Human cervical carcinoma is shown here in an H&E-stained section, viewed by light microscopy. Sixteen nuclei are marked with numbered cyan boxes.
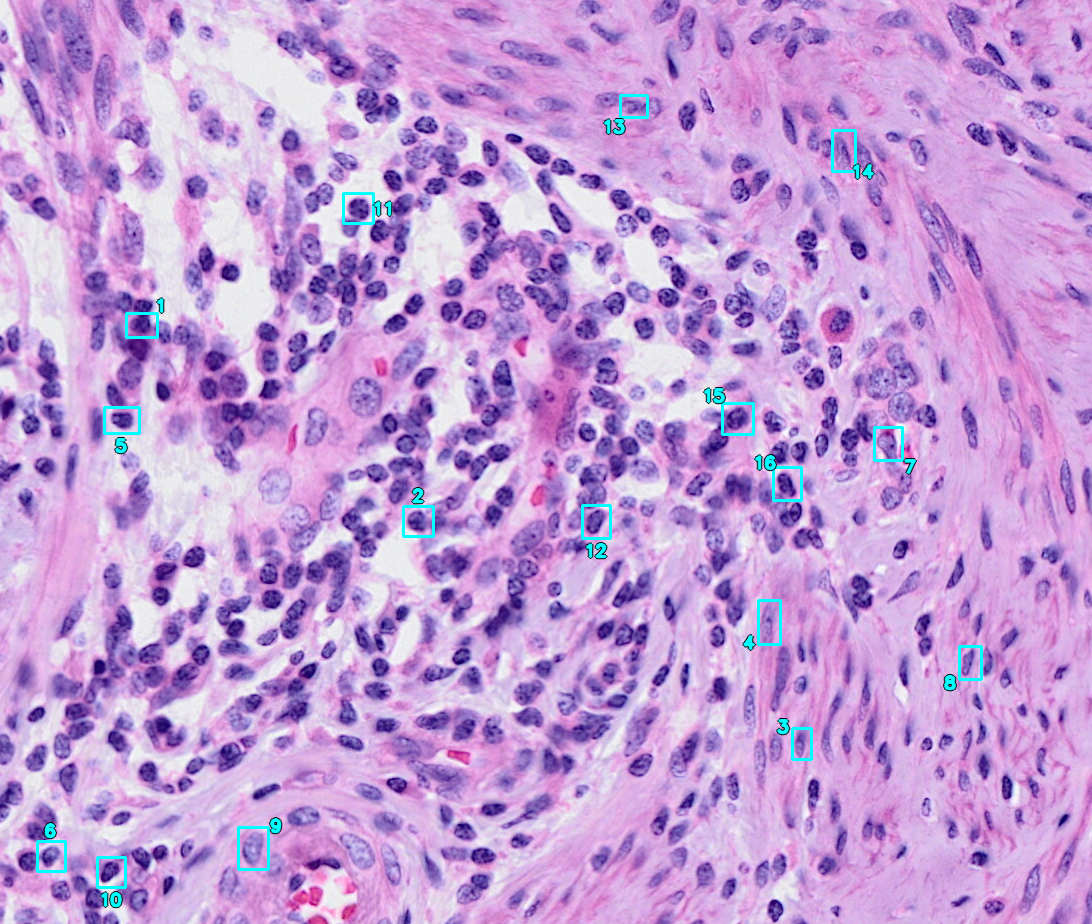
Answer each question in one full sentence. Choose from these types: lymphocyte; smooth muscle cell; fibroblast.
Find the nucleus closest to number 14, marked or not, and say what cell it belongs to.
The nearest nucleus to number 14 belongs to a smooth muscle cell.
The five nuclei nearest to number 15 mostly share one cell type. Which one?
Around number 15, most of the five nearest nuclei are those of lymphocytes.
